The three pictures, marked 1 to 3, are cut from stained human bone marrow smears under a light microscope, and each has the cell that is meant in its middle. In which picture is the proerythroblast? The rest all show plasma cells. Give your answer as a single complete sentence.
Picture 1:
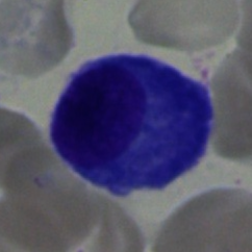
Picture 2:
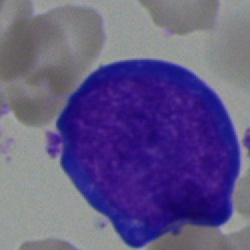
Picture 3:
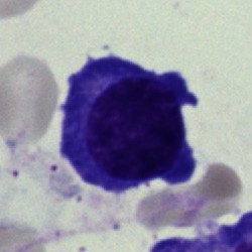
Picture 2 shows the proerythroblast.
